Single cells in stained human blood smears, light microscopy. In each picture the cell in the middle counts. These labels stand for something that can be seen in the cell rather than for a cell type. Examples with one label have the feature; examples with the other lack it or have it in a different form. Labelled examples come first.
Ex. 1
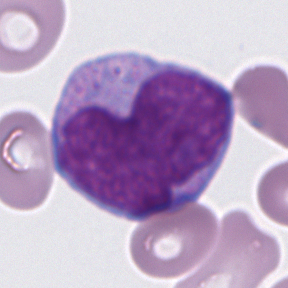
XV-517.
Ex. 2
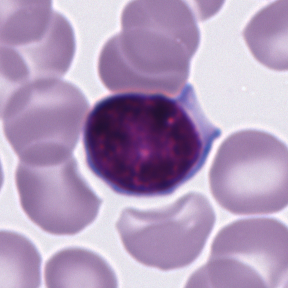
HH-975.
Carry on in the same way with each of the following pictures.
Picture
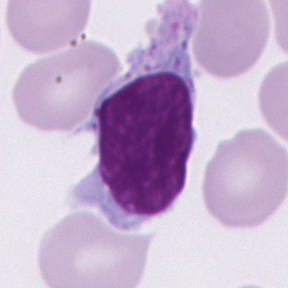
HH-975.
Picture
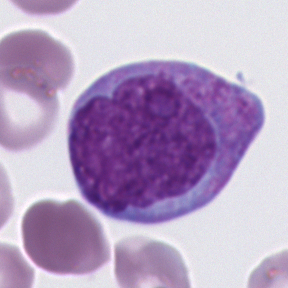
HH-975.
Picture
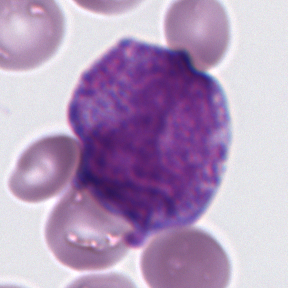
HH-975.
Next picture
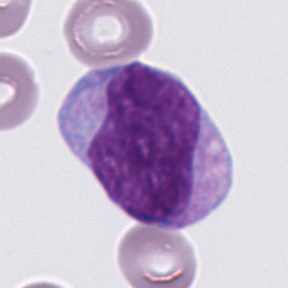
XV-517.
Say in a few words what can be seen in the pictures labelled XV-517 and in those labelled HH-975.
Seen in XV-517: smooth outline; seen in HH-975: ragged outline or projections.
